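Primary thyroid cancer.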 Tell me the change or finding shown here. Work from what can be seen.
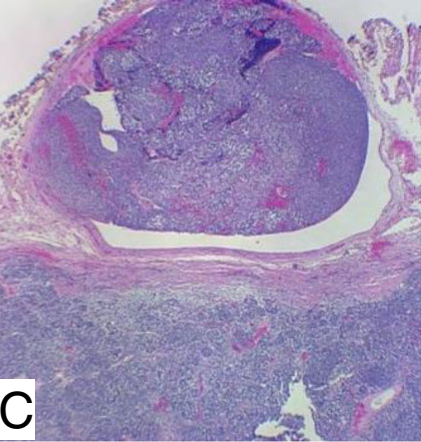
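Vascular invasion. A rounded plug of tumour lies inside a lumen lined by a thin pink wall. Solid tumour tissue fills the area beneath the vessel.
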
